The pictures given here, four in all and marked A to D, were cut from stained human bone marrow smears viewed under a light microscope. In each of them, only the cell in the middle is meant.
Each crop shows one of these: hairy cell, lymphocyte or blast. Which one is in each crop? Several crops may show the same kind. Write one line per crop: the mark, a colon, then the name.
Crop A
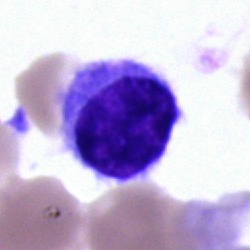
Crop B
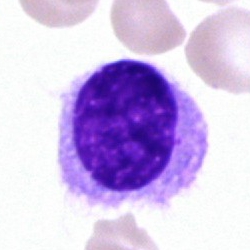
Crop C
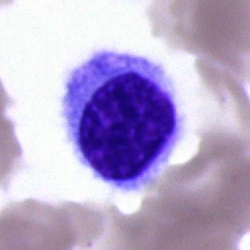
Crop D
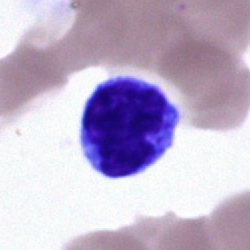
A: hairy cell
B: hairy cell
C: hairy cell
D: lymphocyte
